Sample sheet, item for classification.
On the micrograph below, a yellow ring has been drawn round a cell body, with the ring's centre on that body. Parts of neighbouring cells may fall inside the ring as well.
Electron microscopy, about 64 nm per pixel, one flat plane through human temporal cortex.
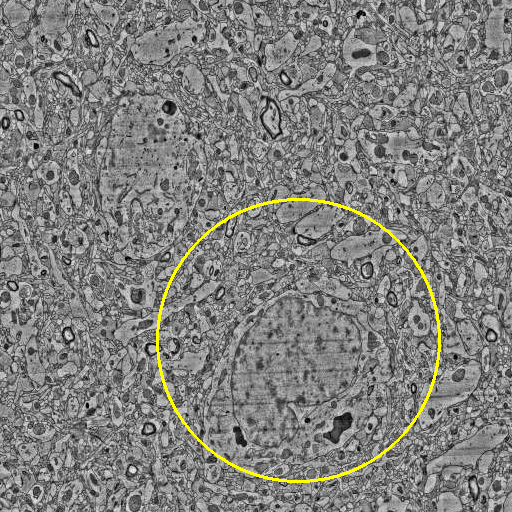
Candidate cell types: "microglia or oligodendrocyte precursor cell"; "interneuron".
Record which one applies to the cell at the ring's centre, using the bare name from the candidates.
interneuron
